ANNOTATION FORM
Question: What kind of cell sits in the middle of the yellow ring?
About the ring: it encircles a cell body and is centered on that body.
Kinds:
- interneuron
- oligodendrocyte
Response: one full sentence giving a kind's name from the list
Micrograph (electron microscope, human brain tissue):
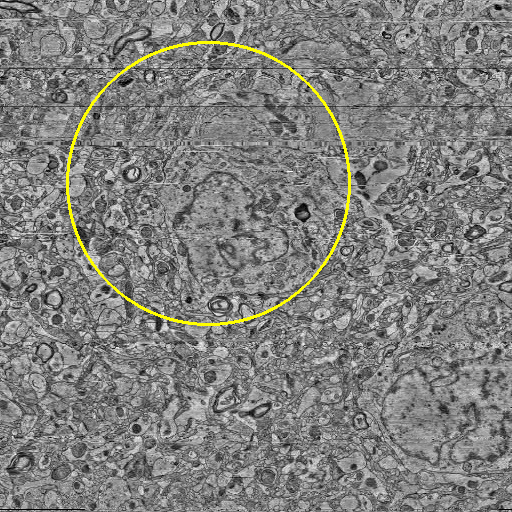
The kind of cell found at the center of the yellow ring in the micrograph is an interneuron.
